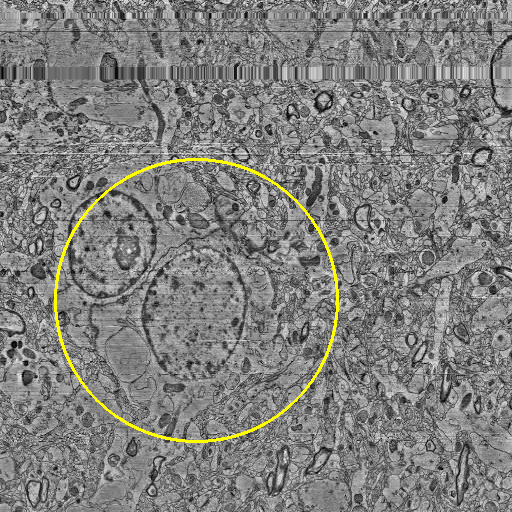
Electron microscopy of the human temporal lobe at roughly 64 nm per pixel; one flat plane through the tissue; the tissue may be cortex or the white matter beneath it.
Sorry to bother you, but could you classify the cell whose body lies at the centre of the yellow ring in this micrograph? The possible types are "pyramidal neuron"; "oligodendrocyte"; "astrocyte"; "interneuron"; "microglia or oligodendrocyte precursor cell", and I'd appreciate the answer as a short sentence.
The ringed cell body is that of an astrocyte.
